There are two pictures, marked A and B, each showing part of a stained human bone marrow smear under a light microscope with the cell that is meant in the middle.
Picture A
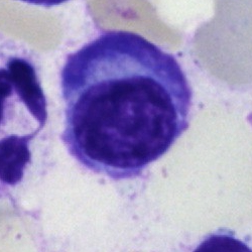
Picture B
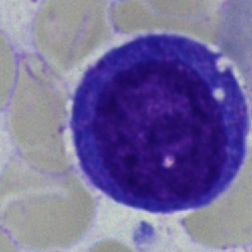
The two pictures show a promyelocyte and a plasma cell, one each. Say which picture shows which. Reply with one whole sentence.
Picture B shows a promyelocyte, while picture A shows a plasma cell.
